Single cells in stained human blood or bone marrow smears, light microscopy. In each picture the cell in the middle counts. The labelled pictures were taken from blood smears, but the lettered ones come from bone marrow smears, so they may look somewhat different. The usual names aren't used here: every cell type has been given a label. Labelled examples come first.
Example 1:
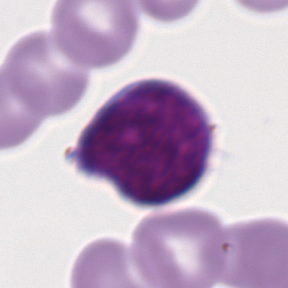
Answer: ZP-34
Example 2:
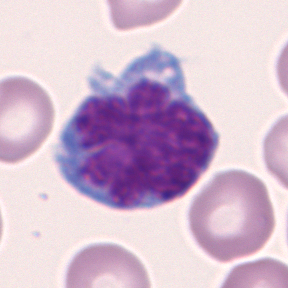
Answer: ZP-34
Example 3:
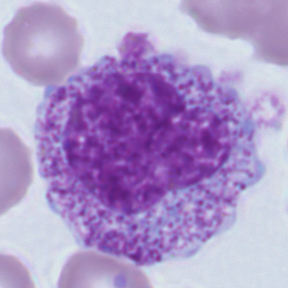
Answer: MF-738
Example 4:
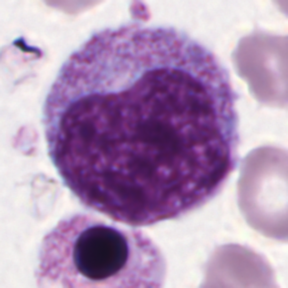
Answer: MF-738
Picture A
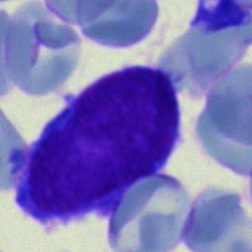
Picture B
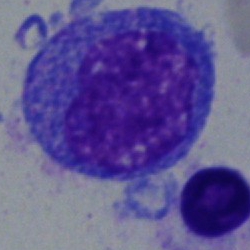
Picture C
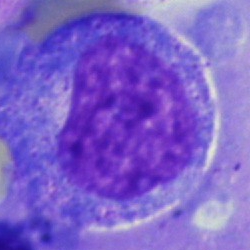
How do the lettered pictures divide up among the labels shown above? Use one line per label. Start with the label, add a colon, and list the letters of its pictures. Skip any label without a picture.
ZP-34: A, B
MF-738: C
